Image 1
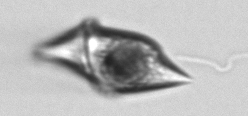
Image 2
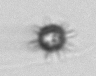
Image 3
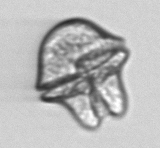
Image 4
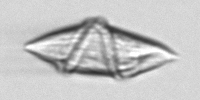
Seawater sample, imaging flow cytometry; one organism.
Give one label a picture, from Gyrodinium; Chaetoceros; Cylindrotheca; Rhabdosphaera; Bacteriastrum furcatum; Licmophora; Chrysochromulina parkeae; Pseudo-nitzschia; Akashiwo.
Picture 1: Gyrodinium
Picture 2: Rhabdosphaera
Picture 3: Akashiwo
Picture 4: Gyrodinium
